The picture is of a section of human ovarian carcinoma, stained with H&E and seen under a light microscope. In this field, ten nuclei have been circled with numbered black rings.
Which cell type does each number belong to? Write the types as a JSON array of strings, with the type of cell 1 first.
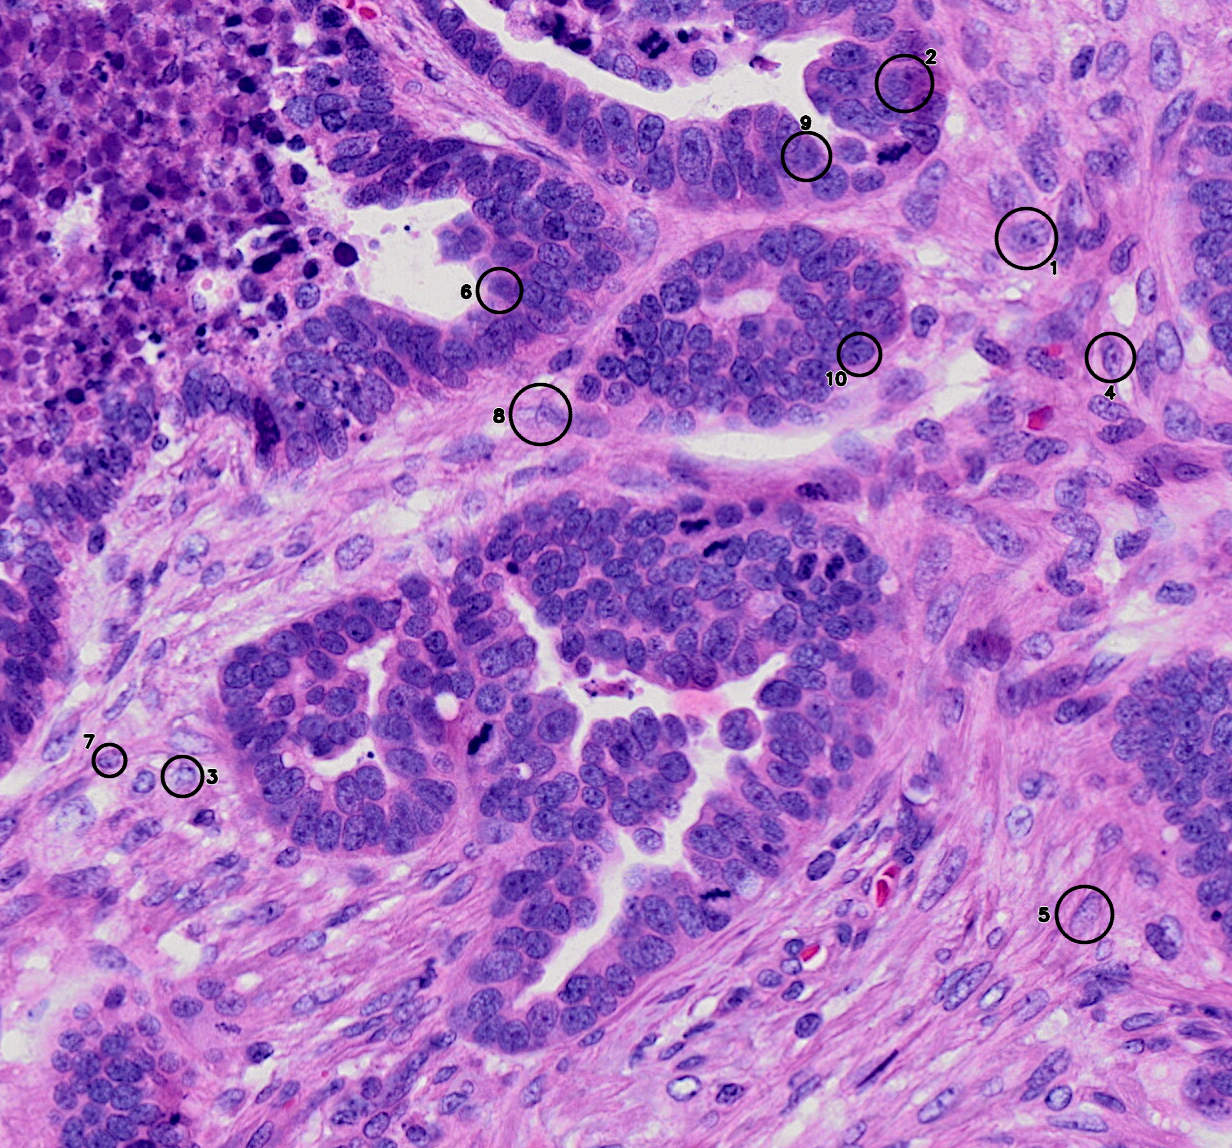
["fibroblast", "carcinoma cell", "fibroblast", "fibroblast", "fibroblast", "carcinoma cell", "fibroblast", "fibroblast", "carcinoma cell", "carcinoma cell"]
